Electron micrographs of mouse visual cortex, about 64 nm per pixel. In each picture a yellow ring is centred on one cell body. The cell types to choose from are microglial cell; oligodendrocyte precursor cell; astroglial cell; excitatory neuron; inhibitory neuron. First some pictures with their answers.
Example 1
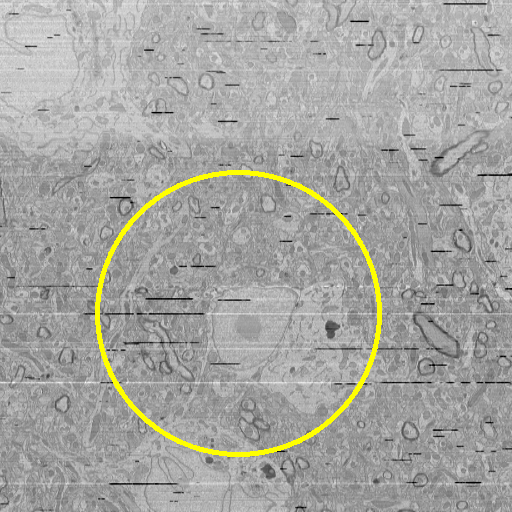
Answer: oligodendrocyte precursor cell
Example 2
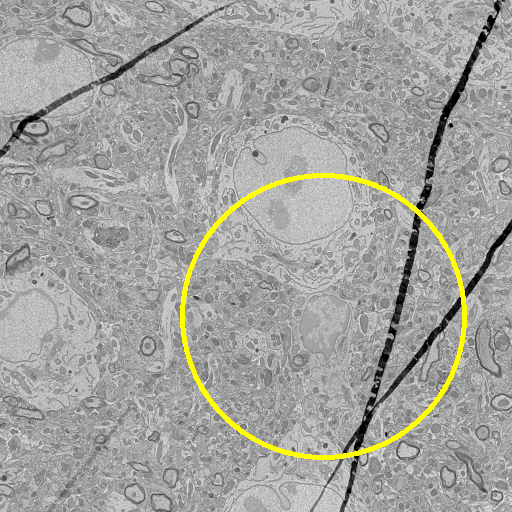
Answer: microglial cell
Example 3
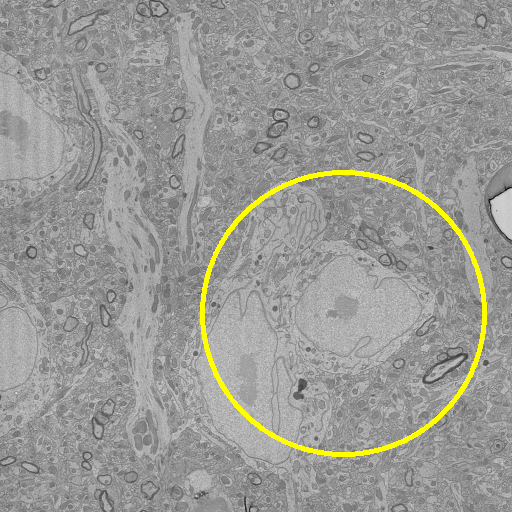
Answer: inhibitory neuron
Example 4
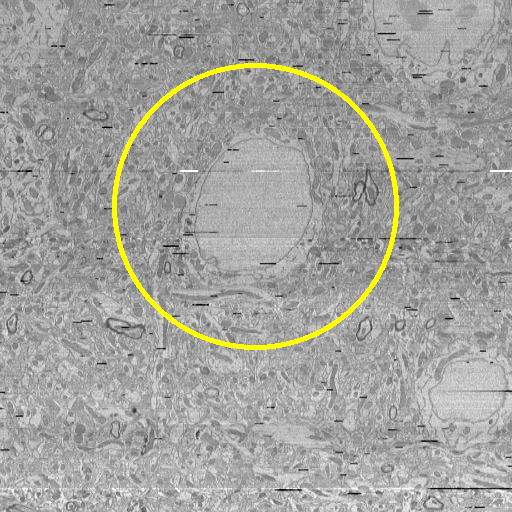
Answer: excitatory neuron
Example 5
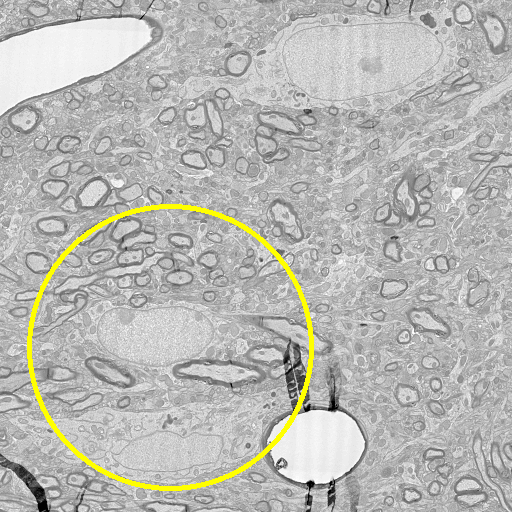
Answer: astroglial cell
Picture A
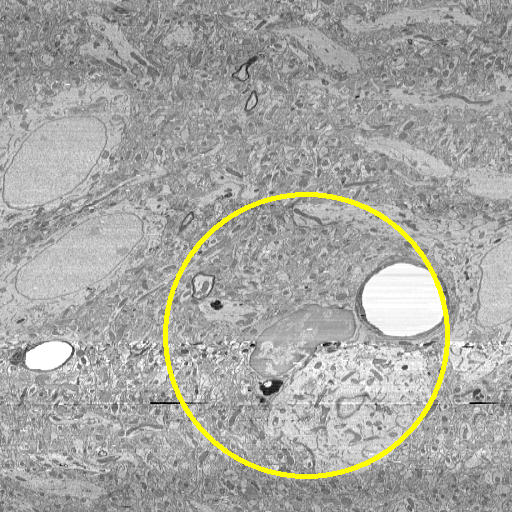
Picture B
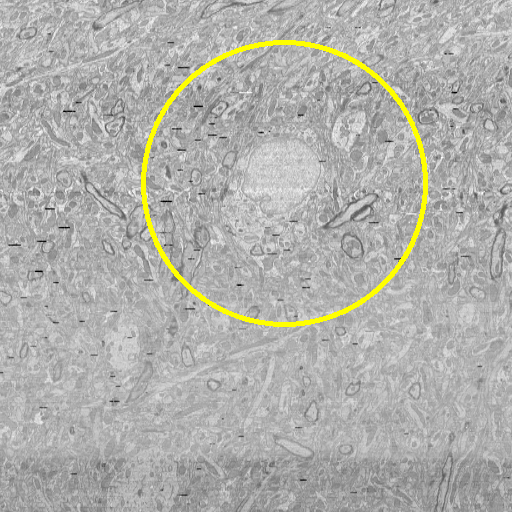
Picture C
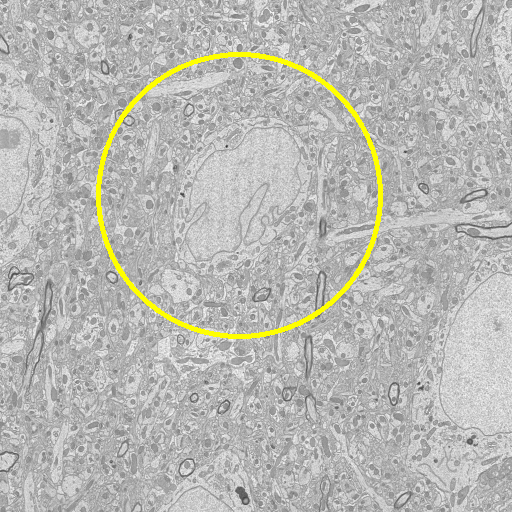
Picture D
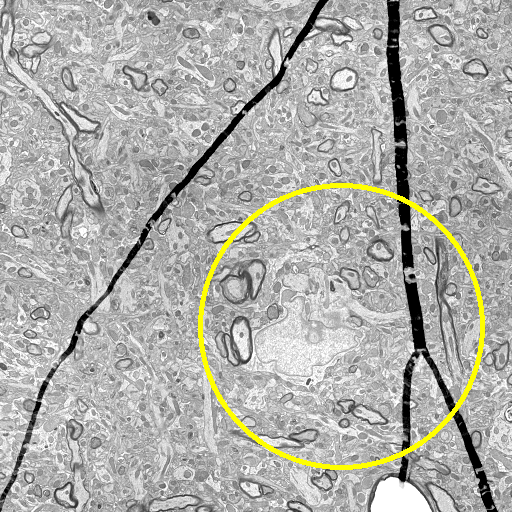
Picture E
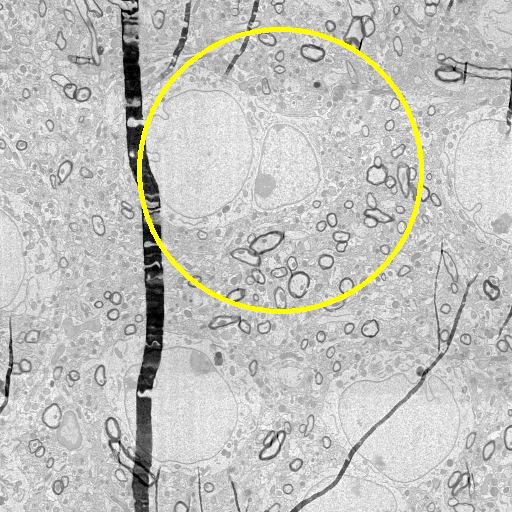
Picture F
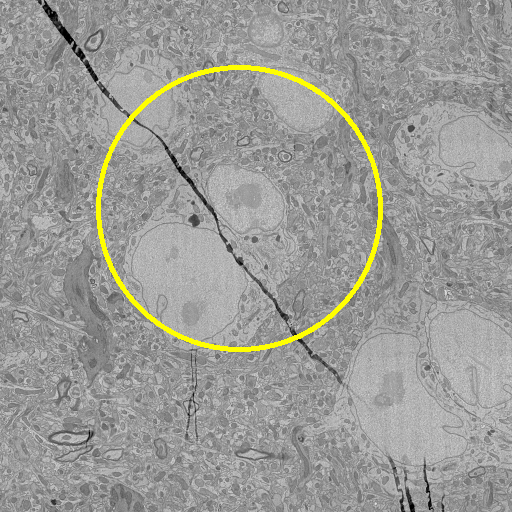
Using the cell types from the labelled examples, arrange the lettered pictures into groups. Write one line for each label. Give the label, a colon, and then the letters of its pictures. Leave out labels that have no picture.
microglial cell: A
oligodendrocyte precursor cell: B, D, E, F
inhibitory neuron: C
